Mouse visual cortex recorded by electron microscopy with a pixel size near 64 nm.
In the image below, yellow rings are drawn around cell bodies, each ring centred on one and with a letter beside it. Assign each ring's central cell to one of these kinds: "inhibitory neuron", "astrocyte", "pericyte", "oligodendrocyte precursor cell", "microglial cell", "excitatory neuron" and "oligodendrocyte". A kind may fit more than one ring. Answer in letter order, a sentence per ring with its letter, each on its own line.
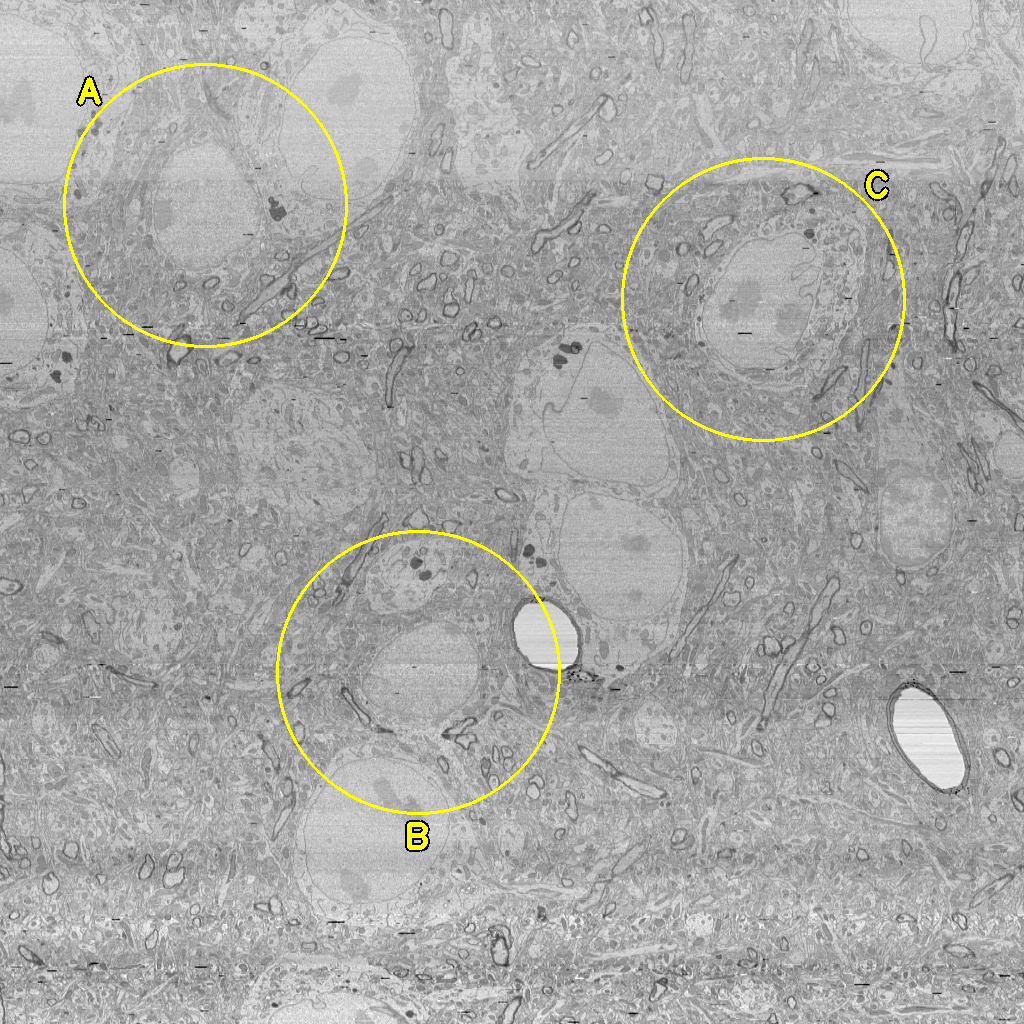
The central cell of ring A is an astrocyte.
The central cell of ring B is an astrocyte.
The central cell of ring C is an inhibitory neuron.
